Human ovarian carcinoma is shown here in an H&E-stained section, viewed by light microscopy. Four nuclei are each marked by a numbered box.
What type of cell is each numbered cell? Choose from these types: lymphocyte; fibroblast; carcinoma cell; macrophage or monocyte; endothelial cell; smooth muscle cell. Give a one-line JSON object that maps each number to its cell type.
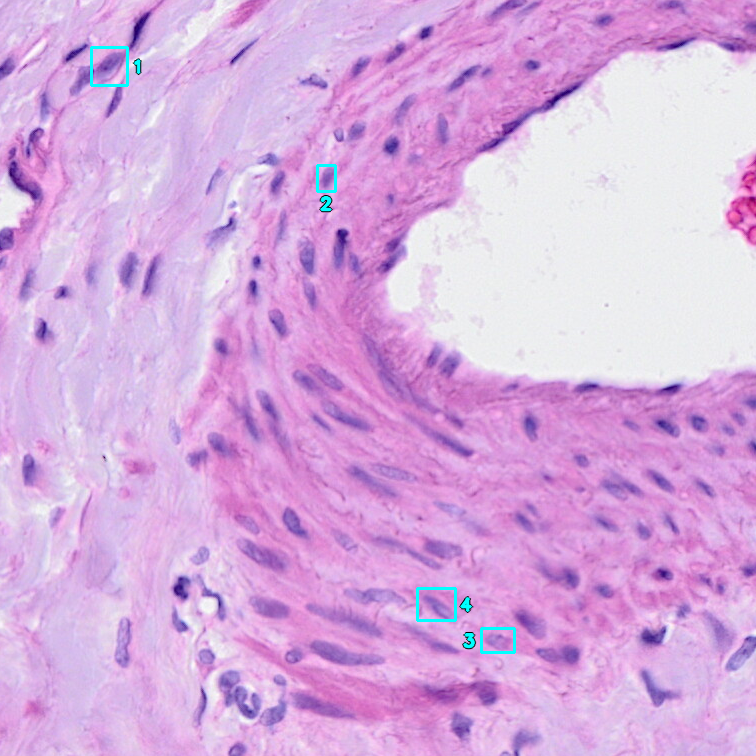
{"1": "endothelial cell", "2": "smooth muscle cell", "3": "smooth muscle cell", "4": "smooth muscle cell"}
